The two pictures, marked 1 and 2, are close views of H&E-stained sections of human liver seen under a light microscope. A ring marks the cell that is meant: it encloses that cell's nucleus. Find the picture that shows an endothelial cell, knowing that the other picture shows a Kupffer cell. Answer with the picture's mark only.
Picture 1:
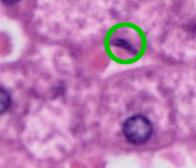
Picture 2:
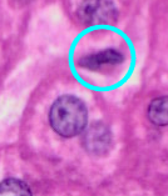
1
